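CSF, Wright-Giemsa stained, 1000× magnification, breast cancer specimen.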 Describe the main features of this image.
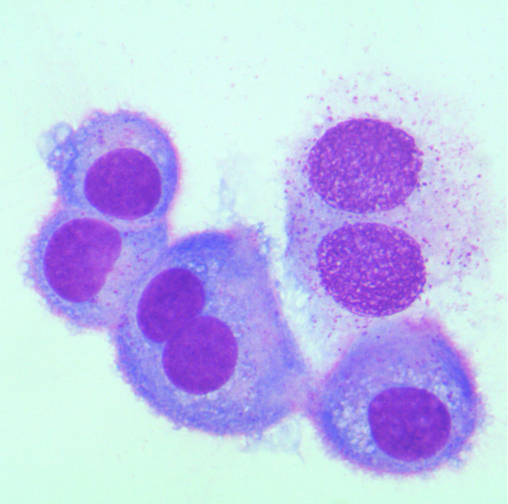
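The nuclei stain deep purple-magenta, and in one cell the chromatin looks coarsely granular. The blue cytoplasm is moderately abundant and rimmed by a pink-red edge. Fine pink-red granules are scattered over and around one of the cells.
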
